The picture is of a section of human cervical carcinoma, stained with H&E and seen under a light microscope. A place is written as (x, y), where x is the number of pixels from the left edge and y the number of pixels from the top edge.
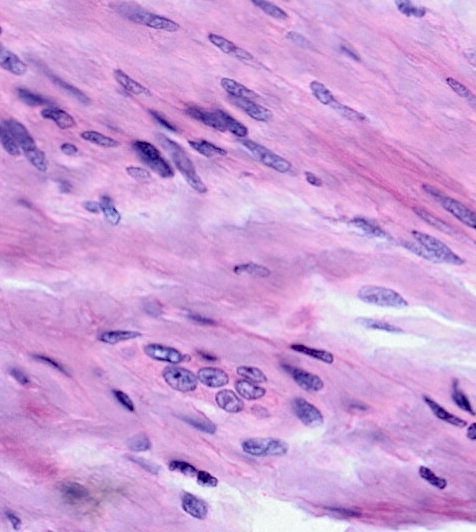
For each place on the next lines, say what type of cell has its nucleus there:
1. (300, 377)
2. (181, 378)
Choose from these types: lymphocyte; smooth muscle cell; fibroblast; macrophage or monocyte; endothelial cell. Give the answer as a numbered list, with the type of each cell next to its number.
1. fibroblast
2. endothelial cell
